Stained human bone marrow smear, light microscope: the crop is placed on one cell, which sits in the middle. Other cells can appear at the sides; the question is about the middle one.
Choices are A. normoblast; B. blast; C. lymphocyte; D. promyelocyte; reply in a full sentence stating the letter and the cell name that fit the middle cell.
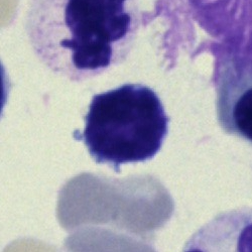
Since the cell in the middle is a lymphocyte, option C is correct.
